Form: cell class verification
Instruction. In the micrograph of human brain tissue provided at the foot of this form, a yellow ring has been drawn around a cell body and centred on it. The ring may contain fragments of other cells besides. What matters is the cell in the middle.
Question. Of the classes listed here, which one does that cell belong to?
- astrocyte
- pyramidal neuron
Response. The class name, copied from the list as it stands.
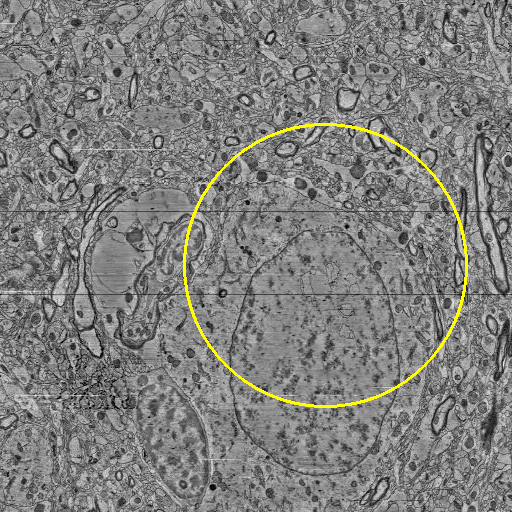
pyramidal neuron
